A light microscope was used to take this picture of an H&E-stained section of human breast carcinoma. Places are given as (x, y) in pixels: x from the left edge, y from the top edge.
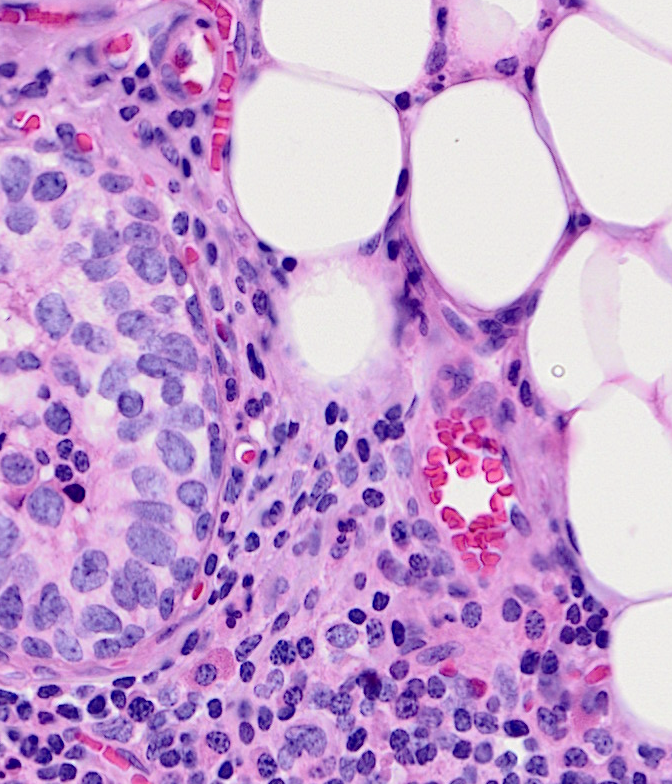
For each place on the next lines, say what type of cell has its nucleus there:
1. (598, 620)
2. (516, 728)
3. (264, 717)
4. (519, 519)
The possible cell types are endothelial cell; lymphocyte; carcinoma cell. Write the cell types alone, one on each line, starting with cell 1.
lymphocyte
lymphocyte
lymphocyte
endothelial cell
